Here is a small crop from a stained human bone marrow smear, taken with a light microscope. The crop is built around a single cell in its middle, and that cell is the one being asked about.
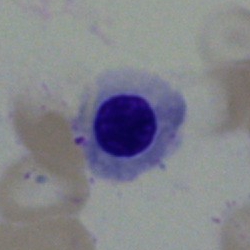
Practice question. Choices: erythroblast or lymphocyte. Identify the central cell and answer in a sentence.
The identification for the central cell is an erythroblast.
